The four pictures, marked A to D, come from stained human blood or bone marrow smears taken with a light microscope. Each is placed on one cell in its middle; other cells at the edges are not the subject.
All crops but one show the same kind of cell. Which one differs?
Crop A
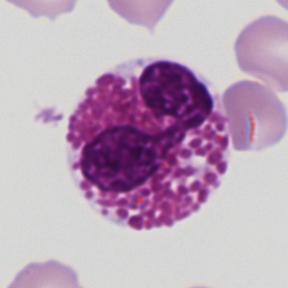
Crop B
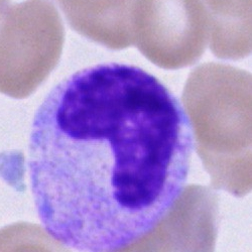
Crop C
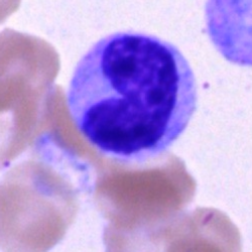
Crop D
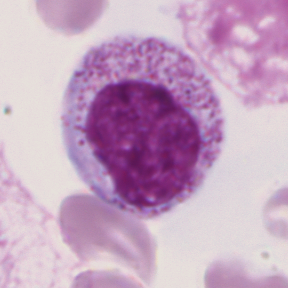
A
